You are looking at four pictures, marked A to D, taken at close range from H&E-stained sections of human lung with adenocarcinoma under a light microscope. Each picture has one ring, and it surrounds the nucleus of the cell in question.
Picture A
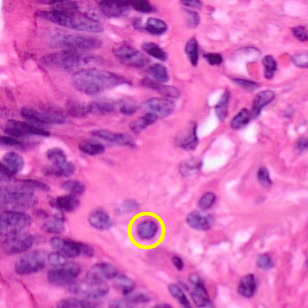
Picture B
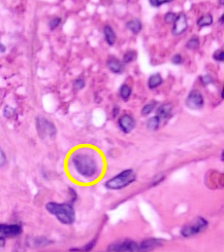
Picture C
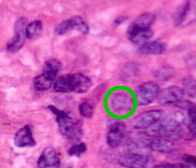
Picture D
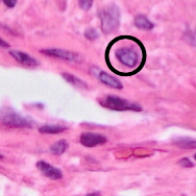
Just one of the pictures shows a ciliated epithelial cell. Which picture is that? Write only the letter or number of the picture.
C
